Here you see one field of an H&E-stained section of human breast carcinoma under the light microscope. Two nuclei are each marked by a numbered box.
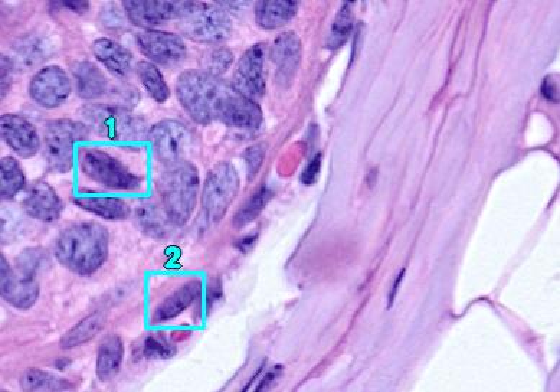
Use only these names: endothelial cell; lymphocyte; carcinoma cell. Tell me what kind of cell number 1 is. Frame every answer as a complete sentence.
The cell that carries the label 1 is a carcinoma cell.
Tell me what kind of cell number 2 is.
The cell assigned the number 2 is an endothelial cell.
